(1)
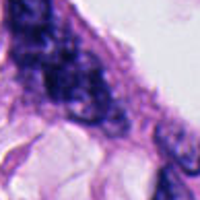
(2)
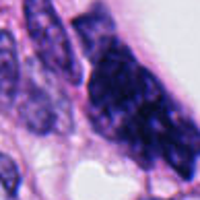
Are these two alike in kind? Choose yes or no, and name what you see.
Yes. Syncytial knots.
